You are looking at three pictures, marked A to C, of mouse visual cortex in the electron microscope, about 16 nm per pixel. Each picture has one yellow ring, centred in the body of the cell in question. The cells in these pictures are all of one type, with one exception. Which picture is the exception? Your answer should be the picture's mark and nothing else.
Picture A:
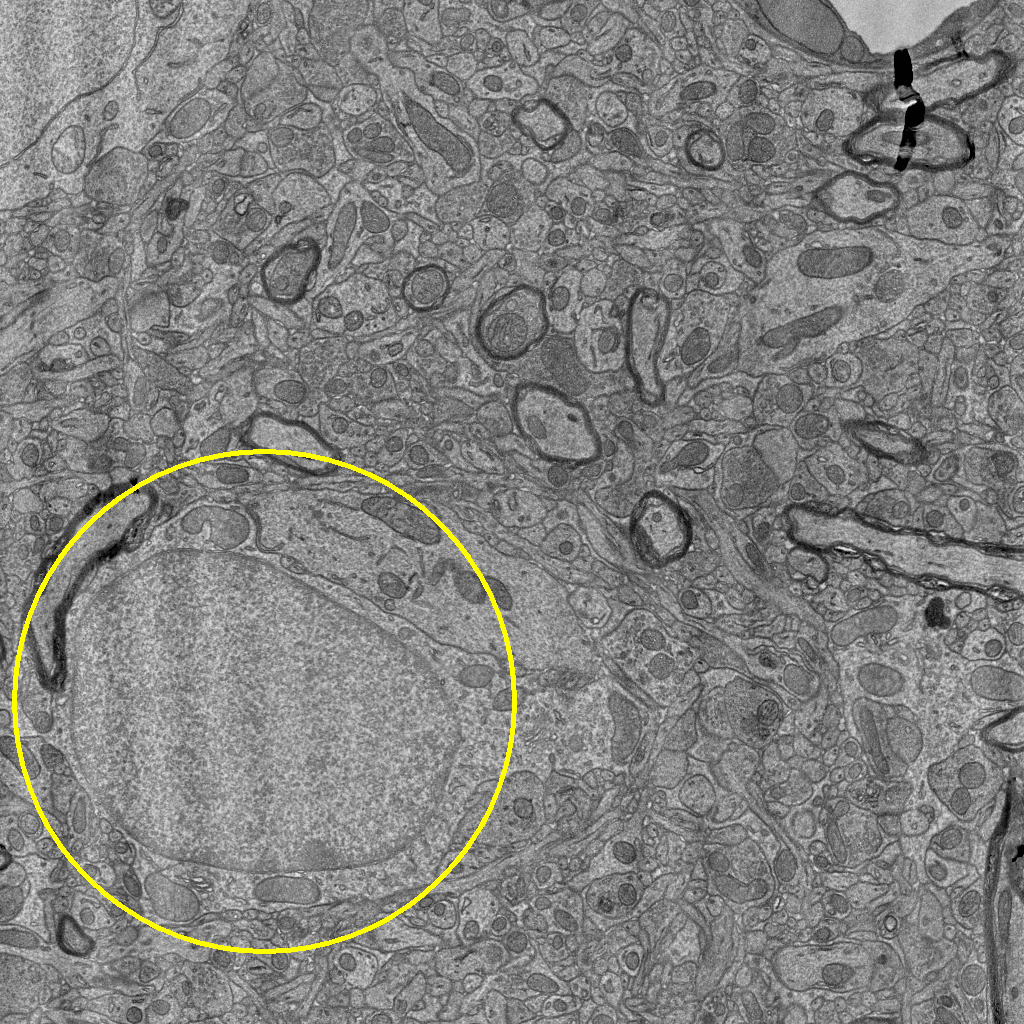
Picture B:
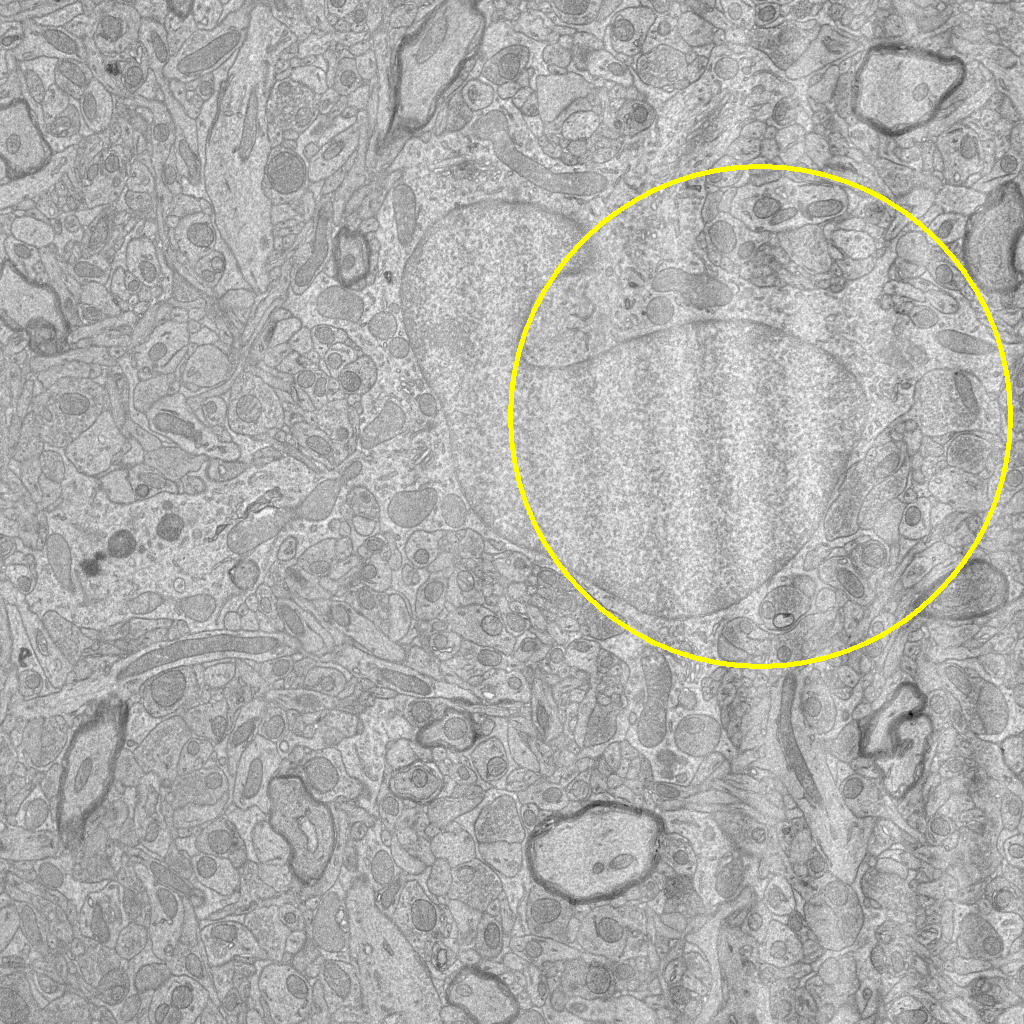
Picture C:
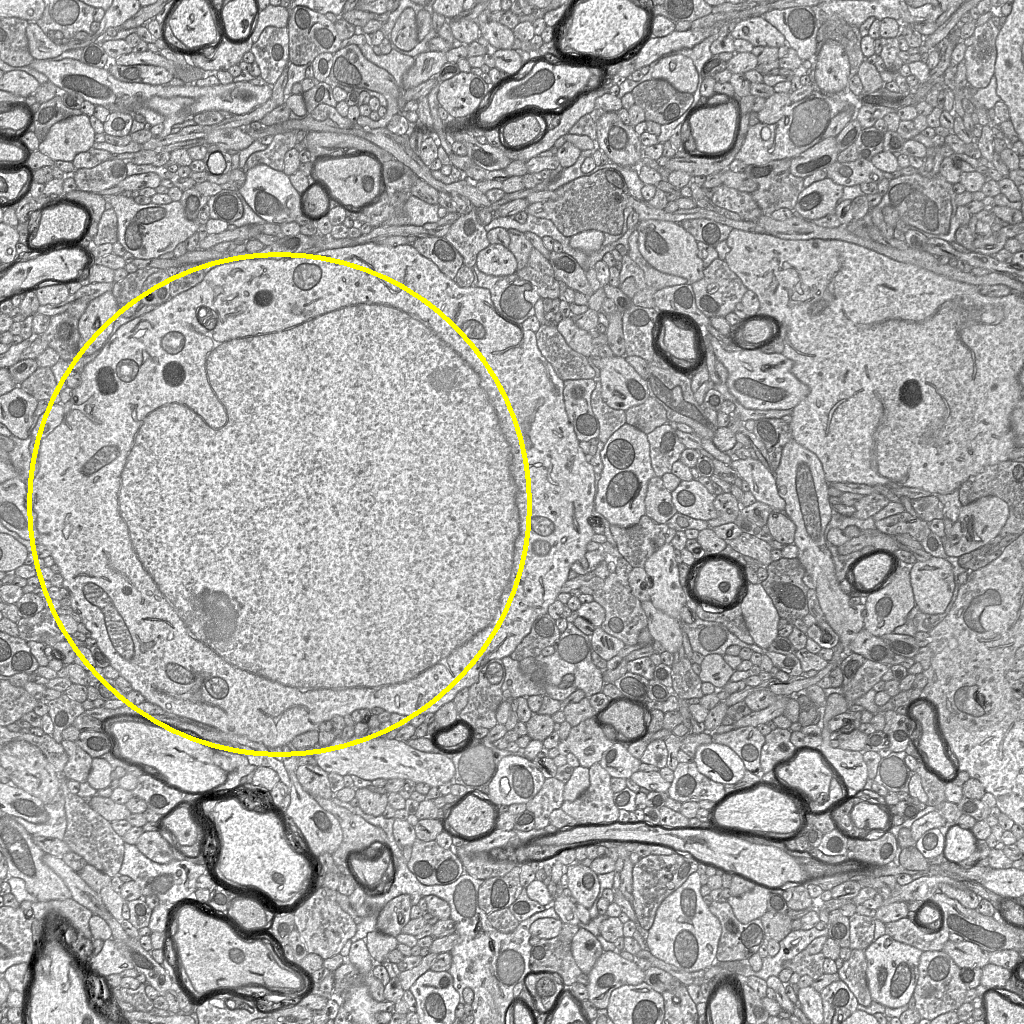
C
